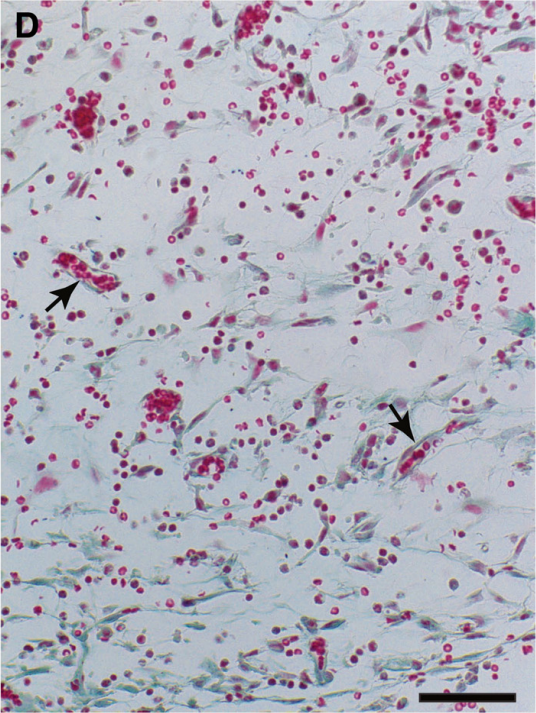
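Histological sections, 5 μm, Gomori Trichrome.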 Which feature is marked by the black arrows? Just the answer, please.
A: blood vessels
